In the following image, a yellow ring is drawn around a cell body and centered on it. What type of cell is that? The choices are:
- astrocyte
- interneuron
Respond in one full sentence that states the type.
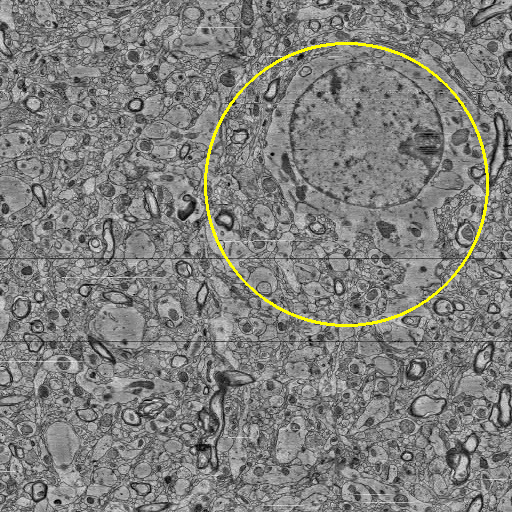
The cell at the center of the yellow ring in the image is an astrocyte.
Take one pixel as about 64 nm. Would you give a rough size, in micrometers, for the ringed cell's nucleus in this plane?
Roughly 10 micrometers across in this plane.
